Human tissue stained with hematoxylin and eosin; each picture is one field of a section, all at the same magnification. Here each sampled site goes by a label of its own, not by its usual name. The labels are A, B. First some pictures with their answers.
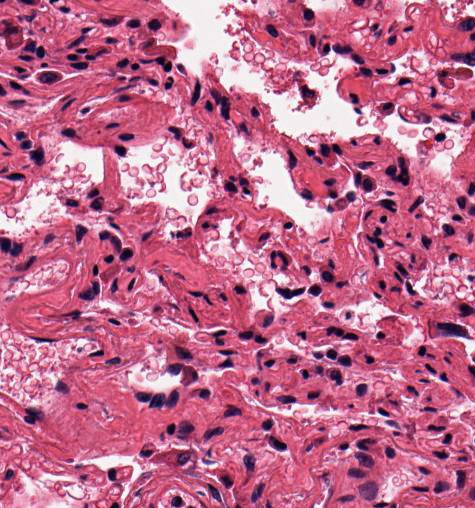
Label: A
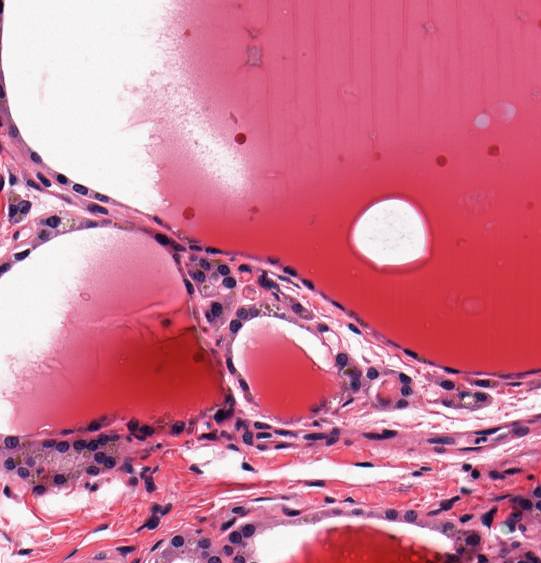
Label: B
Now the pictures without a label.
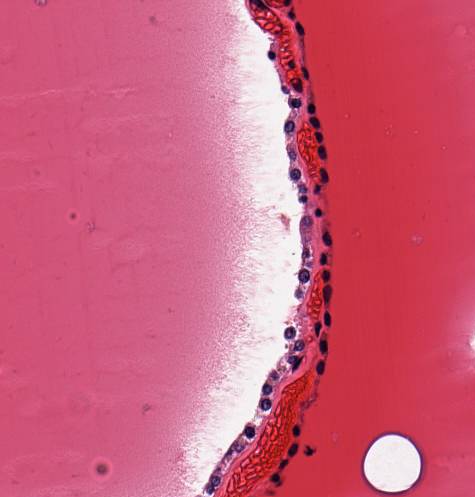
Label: B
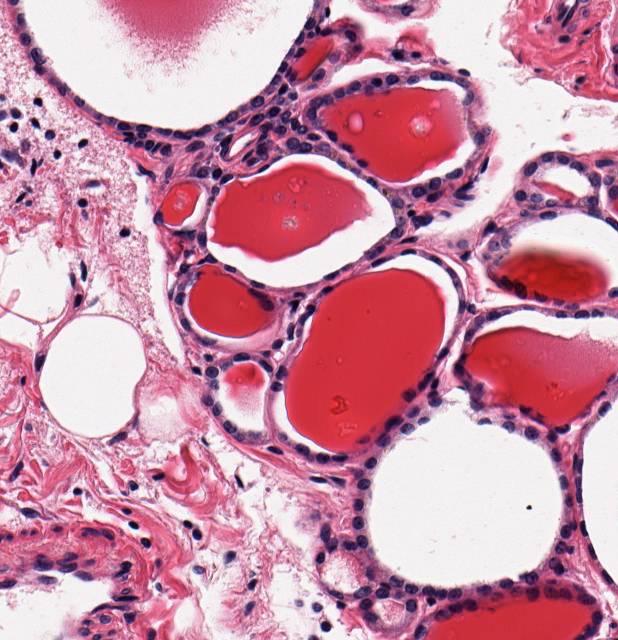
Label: B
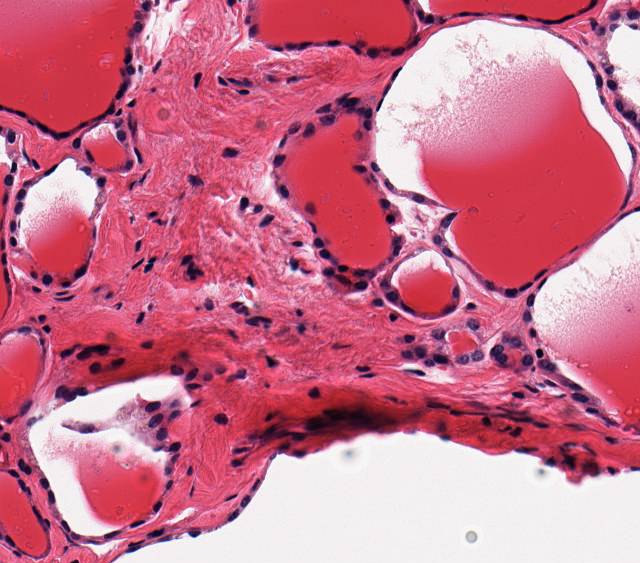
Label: B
